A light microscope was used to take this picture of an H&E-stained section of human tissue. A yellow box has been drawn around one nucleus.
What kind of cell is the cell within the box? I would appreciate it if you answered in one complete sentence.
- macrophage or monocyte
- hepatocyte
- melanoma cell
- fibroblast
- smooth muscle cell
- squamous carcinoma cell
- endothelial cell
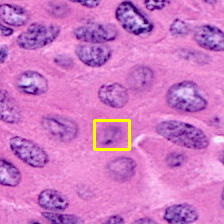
In the tissue under study, the cell within the box is a squamous carcinoma cell.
